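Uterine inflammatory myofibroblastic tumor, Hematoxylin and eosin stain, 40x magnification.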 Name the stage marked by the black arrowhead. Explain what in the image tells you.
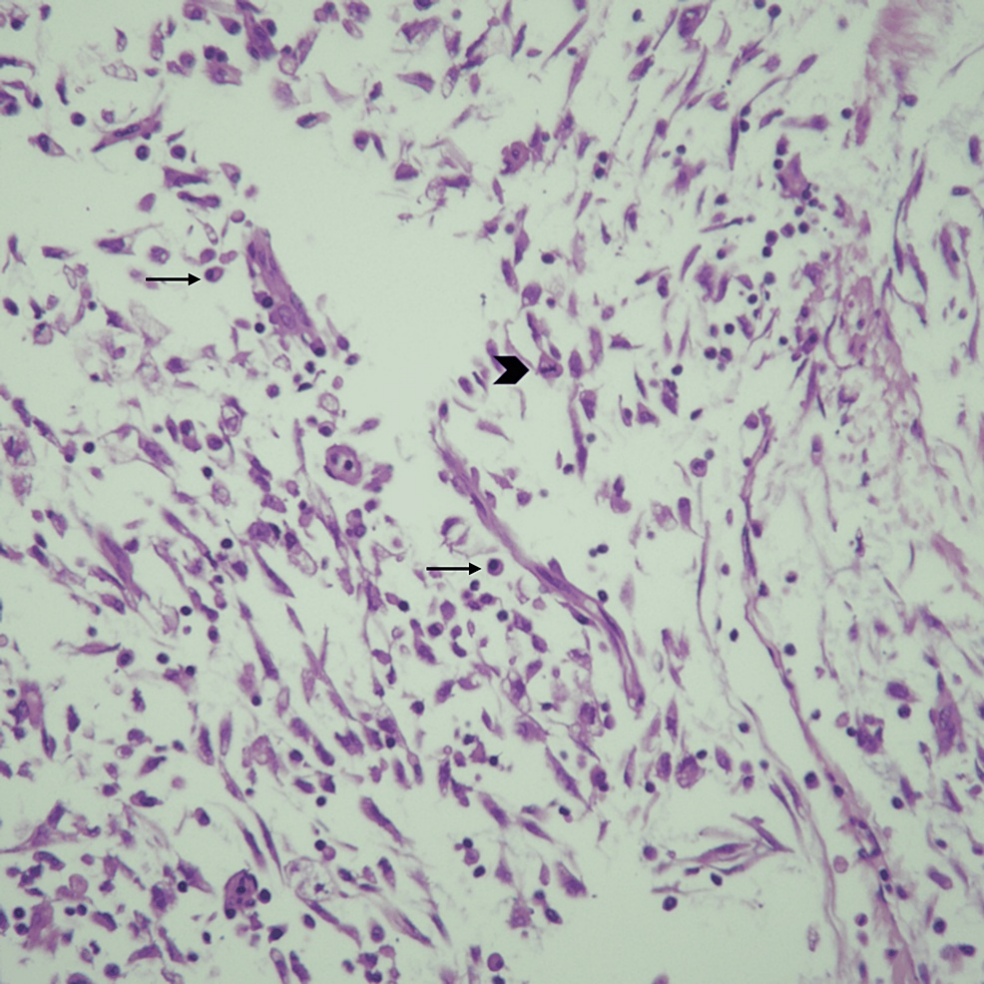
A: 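The arrowhead points to a cell with dark, condensed purple nuclear material.
Mitosis.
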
